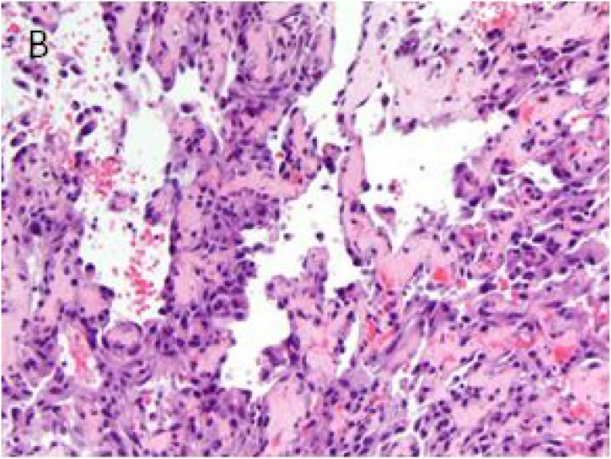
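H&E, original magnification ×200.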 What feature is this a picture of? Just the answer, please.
Irregular anastomosing vascular channels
